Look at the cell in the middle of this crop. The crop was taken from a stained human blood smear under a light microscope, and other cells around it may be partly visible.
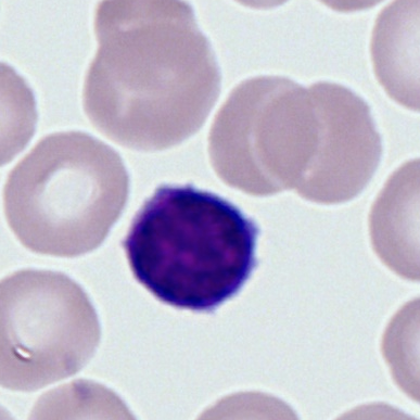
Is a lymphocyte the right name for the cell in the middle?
yes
